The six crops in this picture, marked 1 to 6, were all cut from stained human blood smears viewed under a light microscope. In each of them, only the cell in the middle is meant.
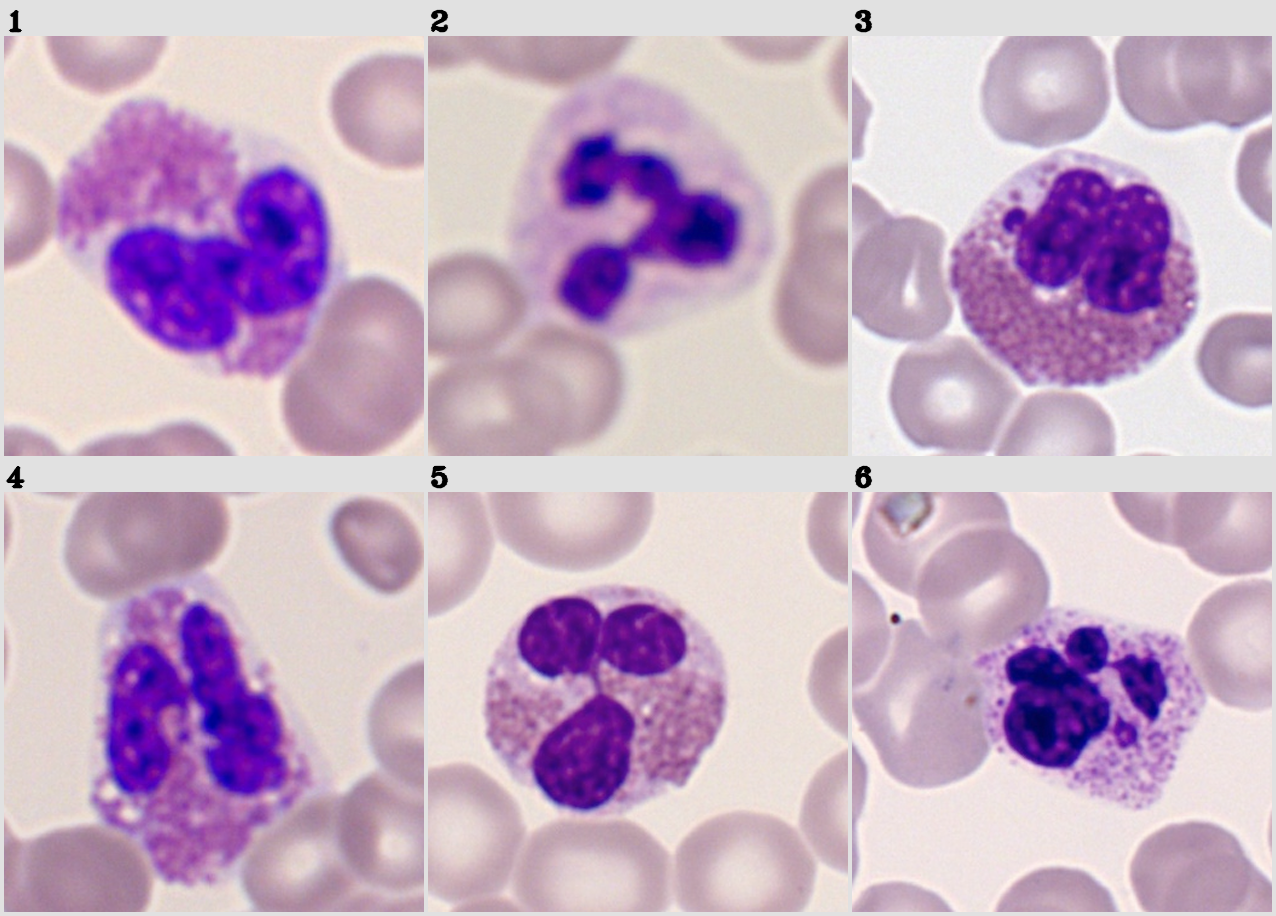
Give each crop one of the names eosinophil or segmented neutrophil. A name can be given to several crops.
1: eosinophil
2: segmented neutrophil
3: eosinophil
4: eosinophil
5: eosinophil
6: segmented neutrophil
